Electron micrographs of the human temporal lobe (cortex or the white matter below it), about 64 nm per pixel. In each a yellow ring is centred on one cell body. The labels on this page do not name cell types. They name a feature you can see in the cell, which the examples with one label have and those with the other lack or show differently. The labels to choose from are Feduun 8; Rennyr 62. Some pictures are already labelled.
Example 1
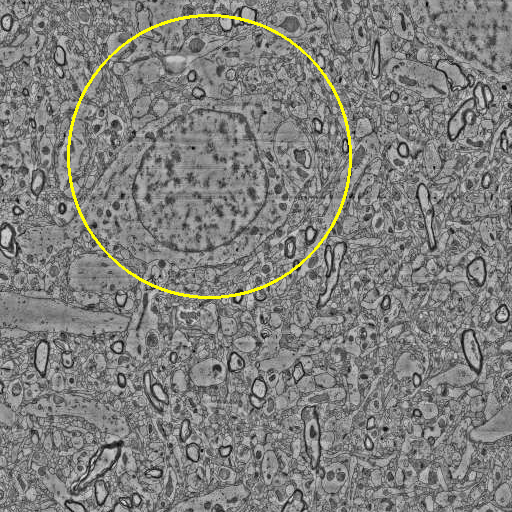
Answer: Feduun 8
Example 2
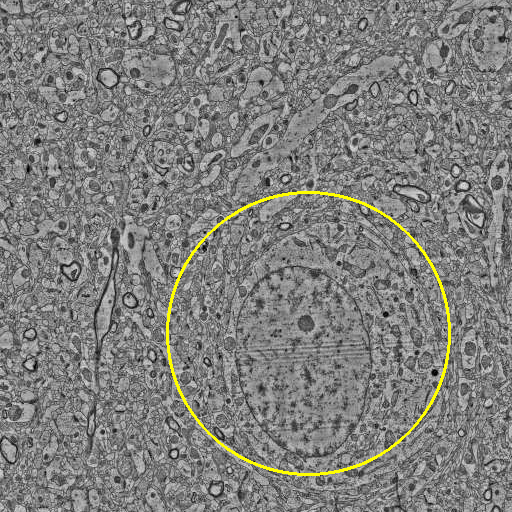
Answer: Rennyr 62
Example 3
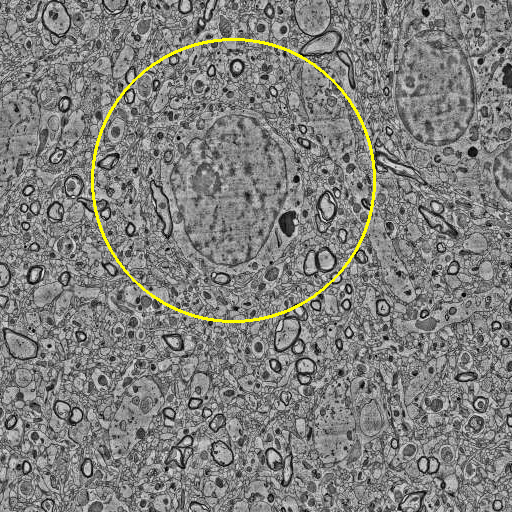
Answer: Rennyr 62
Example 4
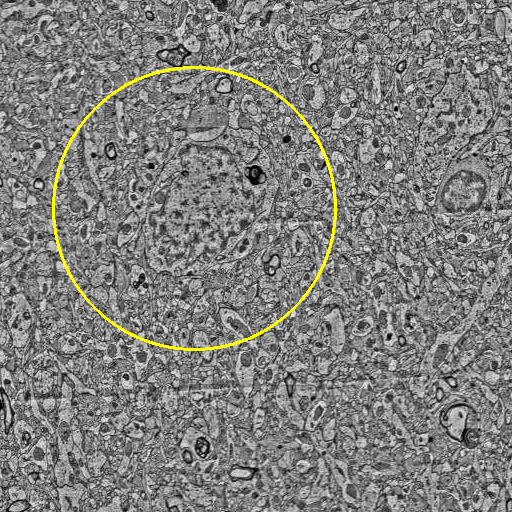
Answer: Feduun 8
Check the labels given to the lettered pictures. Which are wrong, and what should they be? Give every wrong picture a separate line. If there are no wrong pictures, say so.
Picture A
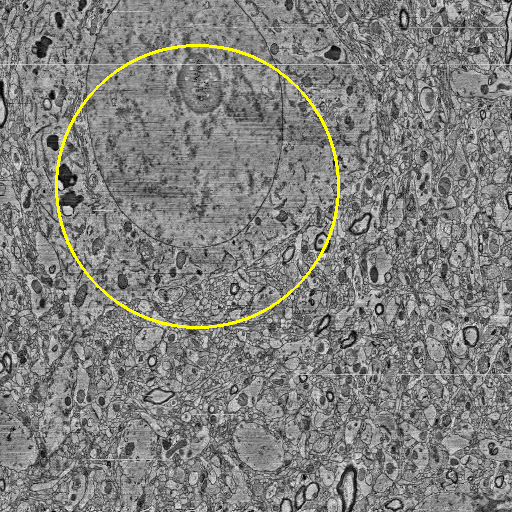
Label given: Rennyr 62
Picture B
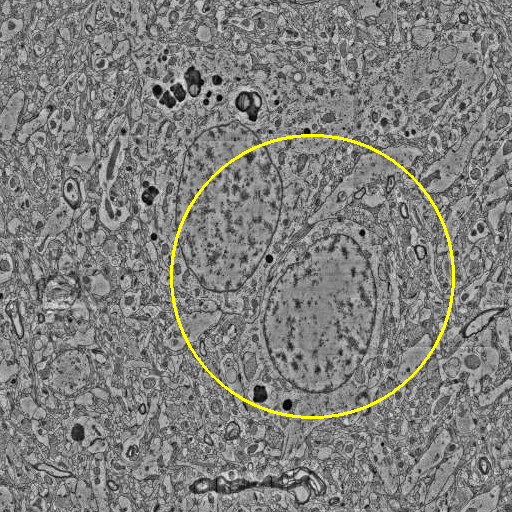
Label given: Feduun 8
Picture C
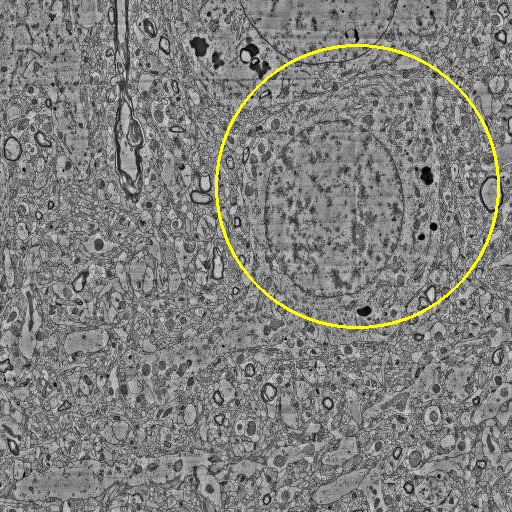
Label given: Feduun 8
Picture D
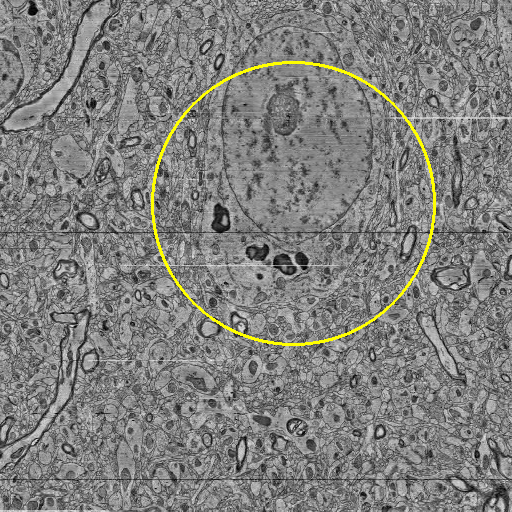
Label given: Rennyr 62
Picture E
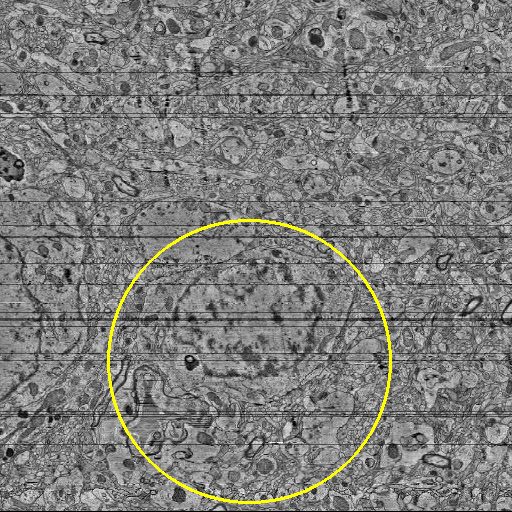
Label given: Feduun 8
All labels are correct.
